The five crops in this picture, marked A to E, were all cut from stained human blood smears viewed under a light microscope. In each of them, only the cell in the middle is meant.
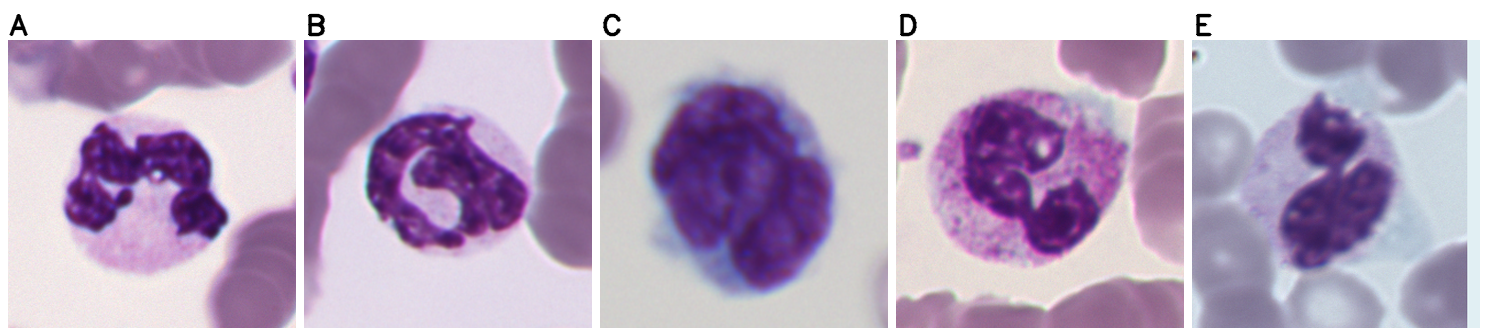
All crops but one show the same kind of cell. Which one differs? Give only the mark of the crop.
C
